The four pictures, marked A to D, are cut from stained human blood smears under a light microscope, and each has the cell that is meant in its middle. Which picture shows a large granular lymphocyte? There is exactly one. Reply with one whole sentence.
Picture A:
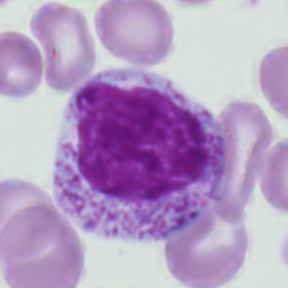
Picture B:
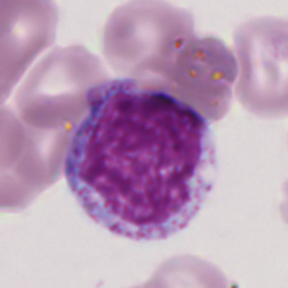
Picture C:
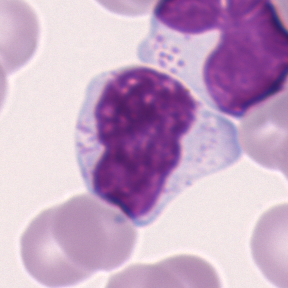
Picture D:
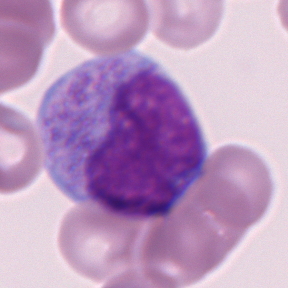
The picture with the large granular lymphocyte is C.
